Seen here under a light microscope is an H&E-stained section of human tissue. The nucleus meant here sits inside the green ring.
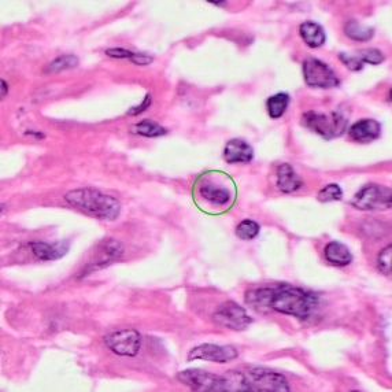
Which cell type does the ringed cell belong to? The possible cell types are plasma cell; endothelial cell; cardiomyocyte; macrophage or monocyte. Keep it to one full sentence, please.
Within this tissue, the ringed cell is a macrophage or monocyte.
